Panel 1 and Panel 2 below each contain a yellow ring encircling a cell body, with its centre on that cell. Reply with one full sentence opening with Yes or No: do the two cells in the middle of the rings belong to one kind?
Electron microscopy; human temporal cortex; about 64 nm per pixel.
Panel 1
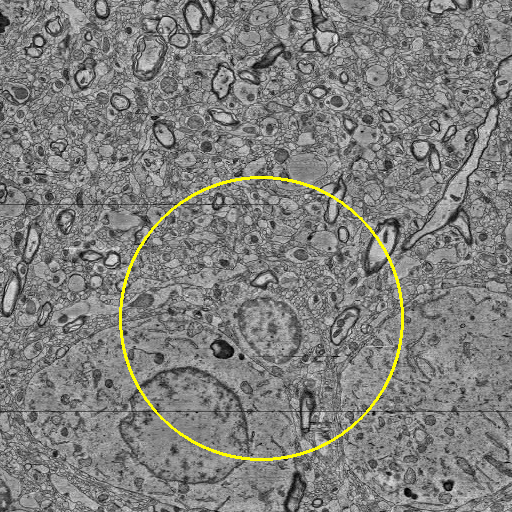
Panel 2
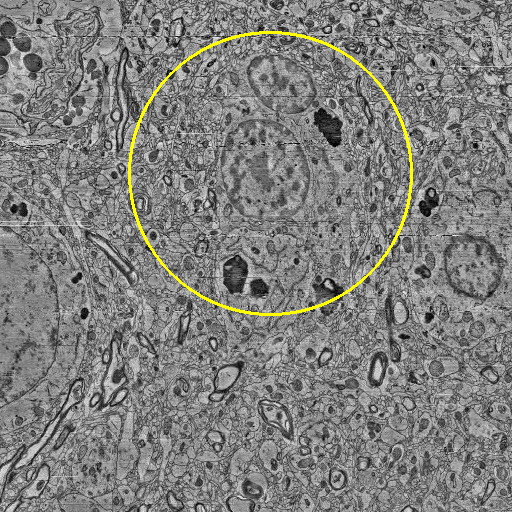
Yes, the cells at the middle of the Panel 1 ring and the Panel 2 ring are of one kind.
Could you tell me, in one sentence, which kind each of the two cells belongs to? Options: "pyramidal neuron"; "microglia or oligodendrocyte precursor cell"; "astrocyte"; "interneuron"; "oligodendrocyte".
Both pictures show an oligodendrocyte at the centre of the ring.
